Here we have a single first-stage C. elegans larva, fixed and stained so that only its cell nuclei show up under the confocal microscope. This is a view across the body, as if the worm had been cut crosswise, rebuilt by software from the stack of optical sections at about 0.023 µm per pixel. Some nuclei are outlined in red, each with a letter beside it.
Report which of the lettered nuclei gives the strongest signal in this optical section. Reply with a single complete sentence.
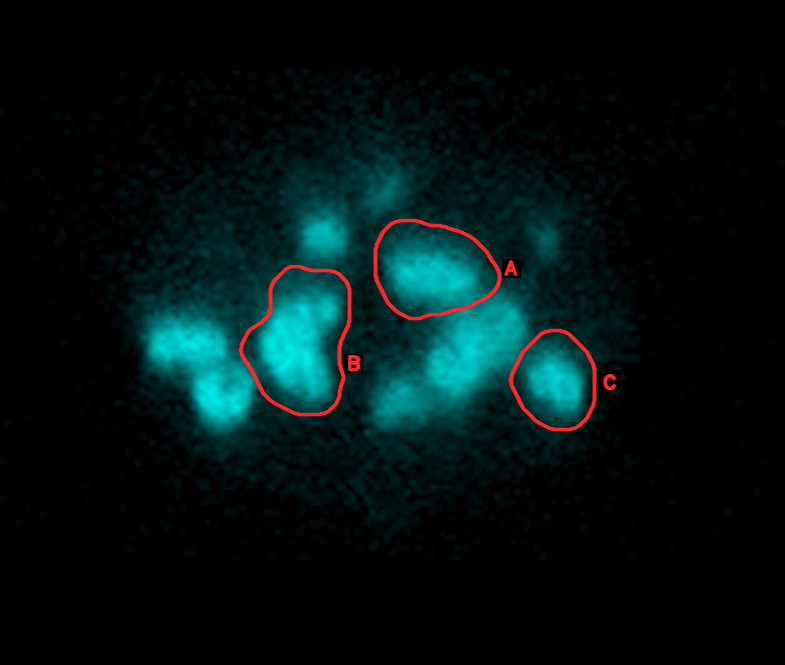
Of the marked nuclei, B takes up the stain most strongly.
